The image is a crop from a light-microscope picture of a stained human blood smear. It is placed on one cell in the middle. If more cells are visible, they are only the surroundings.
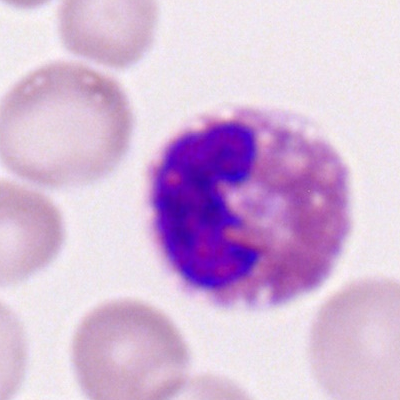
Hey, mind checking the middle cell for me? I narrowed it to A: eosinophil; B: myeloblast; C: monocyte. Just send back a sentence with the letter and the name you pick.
The correct identification, given in option A, is that the central cell is an eosinophil.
